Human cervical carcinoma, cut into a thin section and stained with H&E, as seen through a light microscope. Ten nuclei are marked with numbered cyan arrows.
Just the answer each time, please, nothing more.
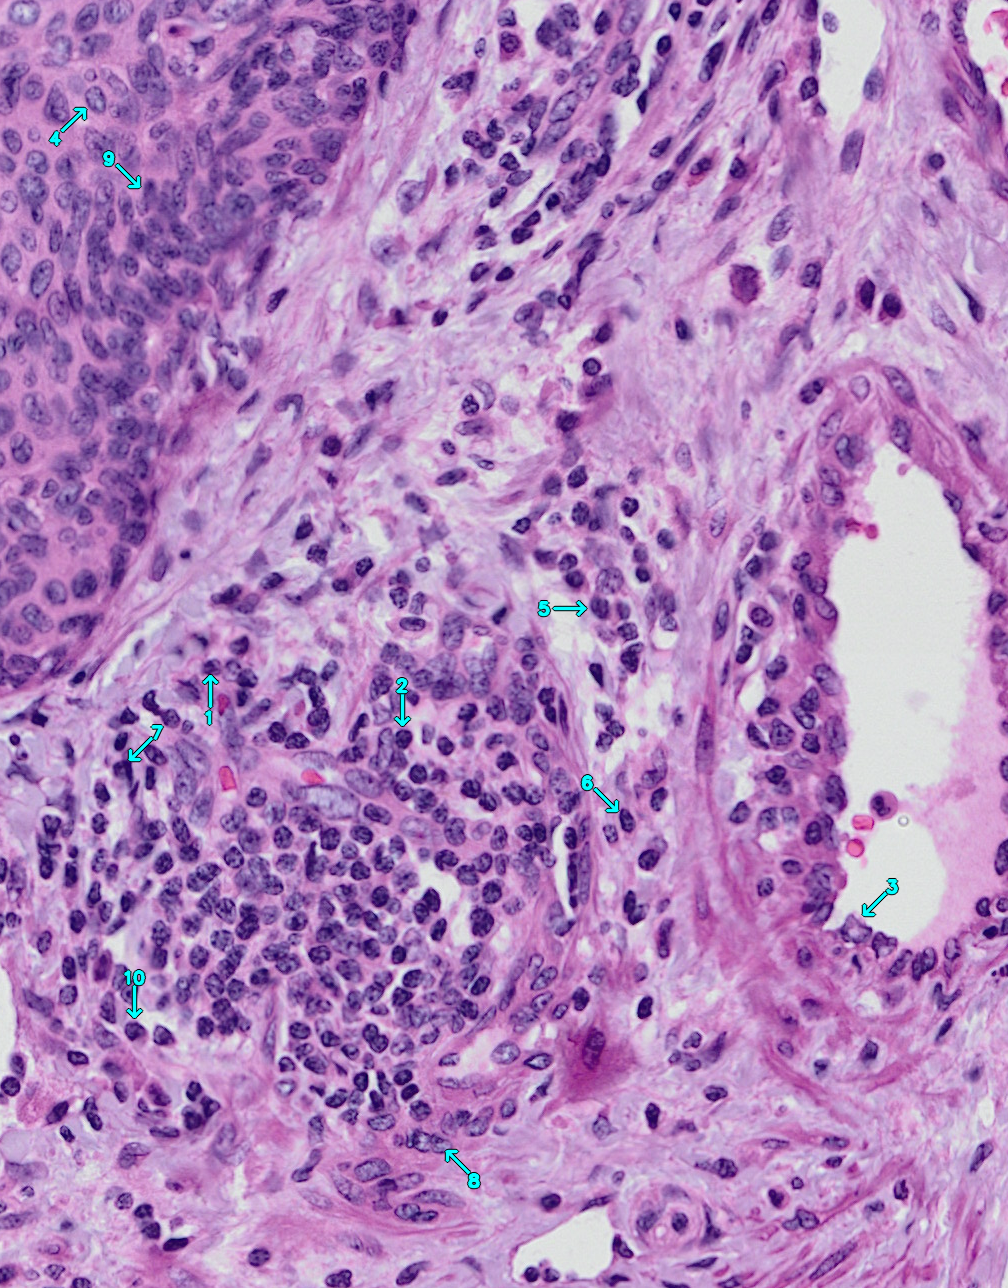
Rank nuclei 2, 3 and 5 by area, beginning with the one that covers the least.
2, 5, 3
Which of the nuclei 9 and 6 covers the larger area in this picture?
9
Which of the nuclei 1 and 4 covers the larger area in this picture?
4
